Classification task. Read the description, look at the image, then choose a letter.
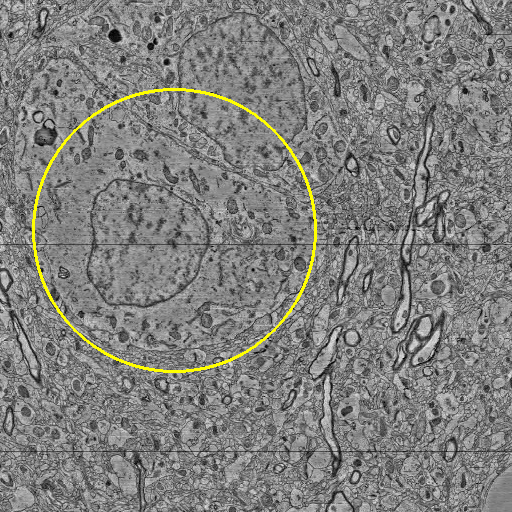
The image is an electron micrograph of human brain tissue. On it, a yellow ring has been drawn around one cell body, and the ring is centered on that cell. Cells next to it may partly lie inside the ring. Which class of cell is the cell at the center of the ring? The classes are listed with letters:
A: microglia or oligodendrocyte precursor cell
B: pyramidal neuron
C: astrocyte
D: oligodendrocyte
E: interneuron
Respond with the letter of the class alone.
B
